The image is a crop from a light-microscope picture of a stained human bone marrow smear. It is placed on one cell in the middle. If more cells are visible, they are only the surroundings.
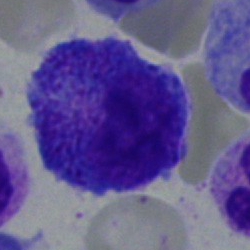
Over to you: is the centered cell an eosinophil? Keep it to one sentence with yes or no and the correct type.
No, the cell occupying the centre is a promyelocyte, not an eosinophil.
